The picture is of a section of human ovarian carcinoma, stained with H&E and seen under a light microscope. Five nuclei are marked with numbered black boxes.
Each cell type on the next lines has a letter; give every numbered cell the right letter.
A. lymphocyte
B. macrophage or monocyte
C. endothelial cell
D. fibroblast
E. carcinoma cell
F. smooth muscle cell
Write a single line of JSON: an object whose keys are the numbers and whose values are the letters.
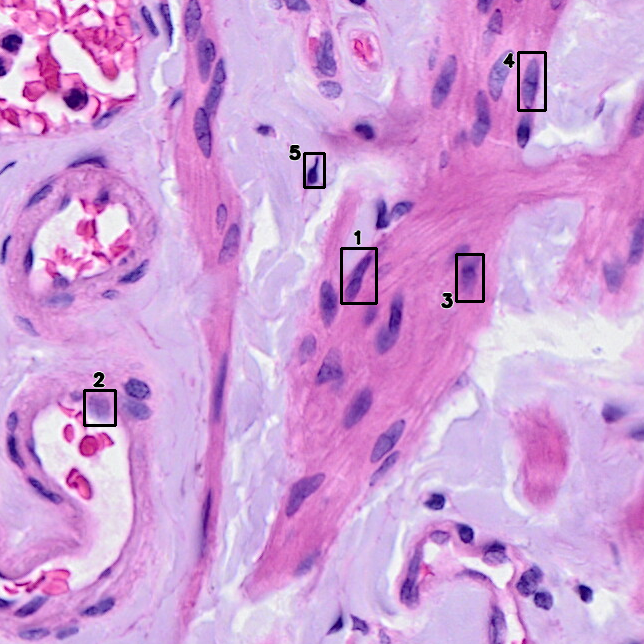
{"1": "F", "2": "C", "3": "F", "4": "F", "5": "D"}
